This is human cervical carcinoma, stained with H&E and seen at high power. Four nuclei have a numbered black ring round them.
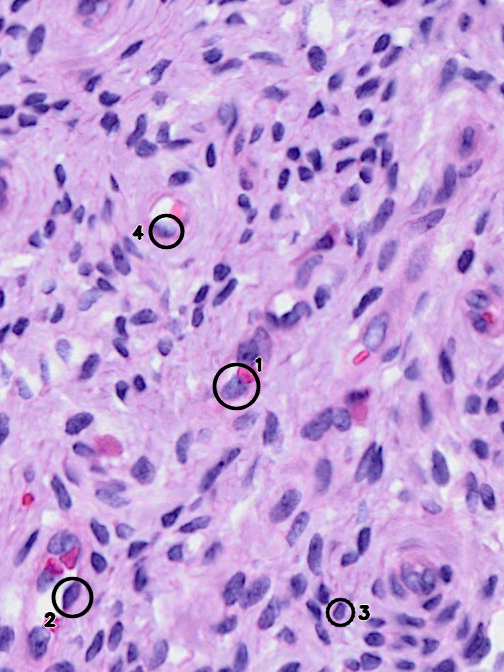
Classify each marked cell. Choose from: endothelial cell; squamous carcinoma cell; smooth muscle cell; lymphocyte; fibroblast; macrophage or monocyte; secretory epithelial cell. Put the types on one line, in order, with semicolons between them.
endothelial cell; endothelial cell; fibroblast; endothelial cell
